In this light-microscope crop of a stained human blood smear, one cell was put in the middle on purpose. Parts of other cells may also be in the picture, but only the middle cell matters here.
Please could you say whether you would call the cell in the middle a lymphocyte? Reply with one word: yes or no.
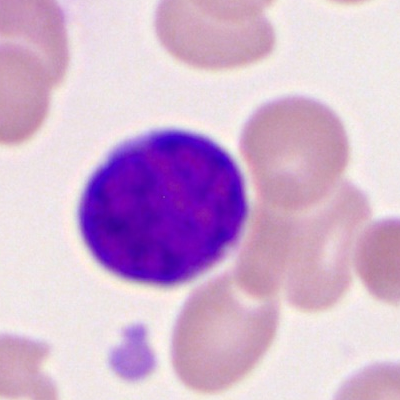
no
